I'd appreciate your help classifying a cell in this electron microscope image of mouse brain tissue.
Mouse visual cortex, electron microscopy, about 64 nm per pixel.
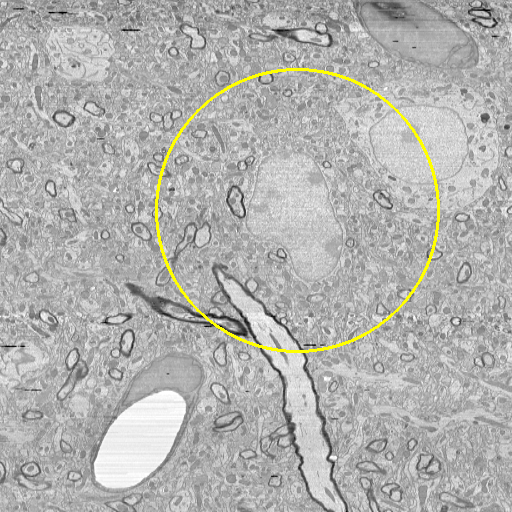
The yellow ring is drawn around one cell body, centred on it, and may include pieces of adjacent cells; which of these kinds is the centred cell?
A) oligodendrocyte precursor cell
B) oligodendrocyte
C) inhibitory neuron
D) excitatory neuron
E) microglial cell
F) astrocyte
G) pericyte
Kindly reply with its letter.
F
